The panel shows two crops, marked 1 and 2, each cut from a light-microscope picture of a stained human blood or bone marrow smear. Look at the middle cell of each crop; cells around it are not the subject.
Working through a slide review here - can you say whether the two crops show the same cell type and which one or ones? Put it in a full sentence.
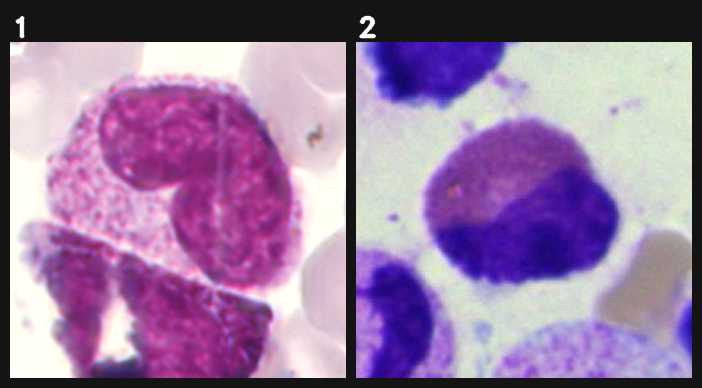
No, a band neutrophil is depicted by crop 1, an eosinophil by crop 2.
